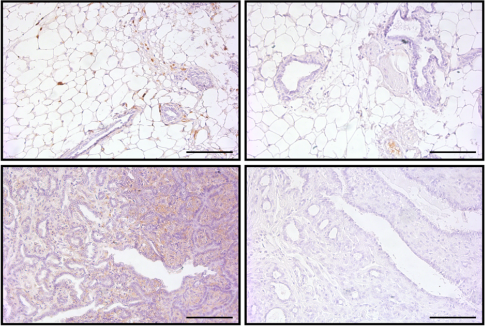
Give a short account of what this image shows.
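The upper two fields show mammary gland tissue in which large, empty-looking fat cells with thin membranes make up most of the field. Small ducts lined by epithelium, with their surrounding connective tissue, sit among the fat cells. The lower left field is a densely cellular tumour with crowded gland-like epithelial structures around a central branching space, showing a diffuse light brown tint. The lower right field shows fibrous stroma and scattered gland-like structures with mostly blue-purple nuclei and little brown stain.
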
